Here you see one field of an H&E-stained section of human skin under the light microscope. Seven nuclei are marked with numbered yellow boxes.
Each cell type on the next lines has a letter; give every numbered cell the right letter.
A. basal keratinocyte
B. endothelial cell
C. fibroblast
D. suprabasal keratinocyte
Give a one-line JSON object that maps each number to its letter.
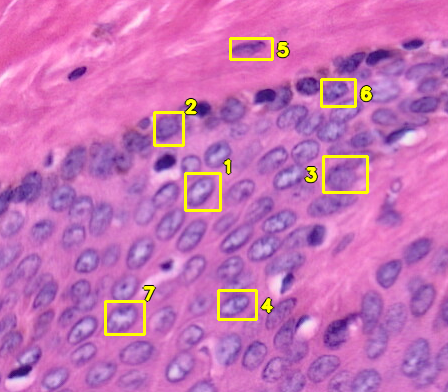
{"1": "D", "2": "A", "3": "A", "4": "D", "5": "C", "6": "A", "7": "D"}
